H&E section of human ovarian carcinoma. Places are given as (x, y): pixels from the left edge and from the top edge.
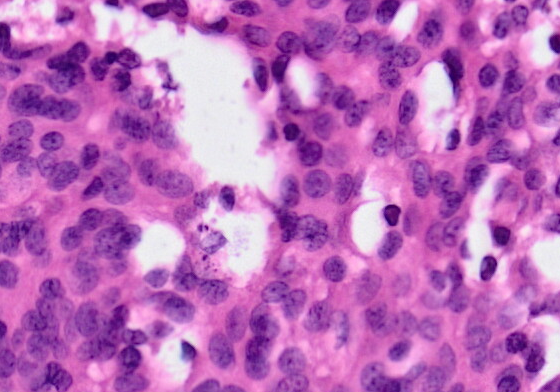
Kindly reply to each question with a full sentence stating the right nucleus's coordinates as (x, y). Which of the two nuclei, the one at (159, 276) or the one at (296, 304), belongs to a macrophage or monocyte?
It is at (159, 276) that the nucleus of a macrophage or monocyte is found.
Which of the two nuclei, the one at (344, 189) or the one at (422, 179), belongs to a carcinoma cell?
Of the two nuclei, that at (344, 189) is the nucleus of a carcinoma cell.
